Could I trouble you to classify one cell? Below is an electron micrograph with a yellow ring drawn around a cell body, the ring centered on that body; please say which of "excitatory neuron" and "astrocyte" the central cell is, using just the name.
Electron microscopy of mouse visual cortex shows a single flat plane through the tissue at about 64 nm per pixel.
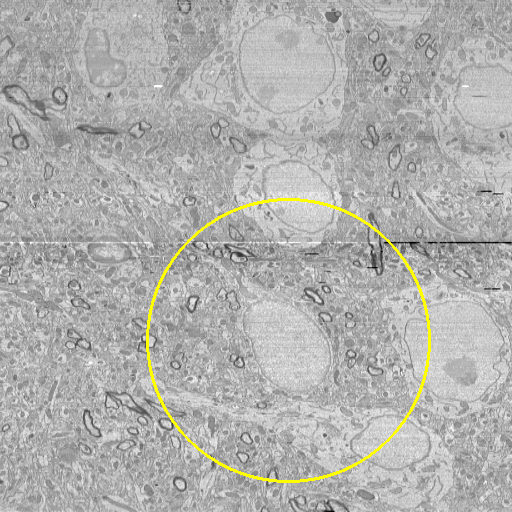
astrocyte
